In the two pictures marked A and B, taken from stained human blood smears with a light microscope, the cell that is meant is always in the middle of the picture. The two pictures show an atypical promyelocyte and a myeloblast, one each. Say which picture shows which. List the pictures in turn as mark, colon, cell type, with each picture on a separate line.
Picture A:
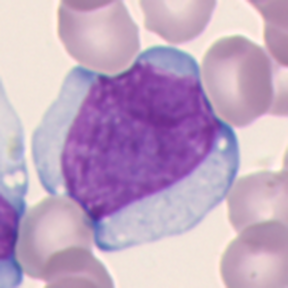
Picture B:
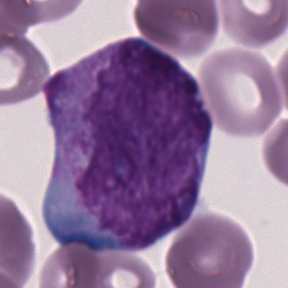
A: myeloblast
B: atypical promyelocyte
